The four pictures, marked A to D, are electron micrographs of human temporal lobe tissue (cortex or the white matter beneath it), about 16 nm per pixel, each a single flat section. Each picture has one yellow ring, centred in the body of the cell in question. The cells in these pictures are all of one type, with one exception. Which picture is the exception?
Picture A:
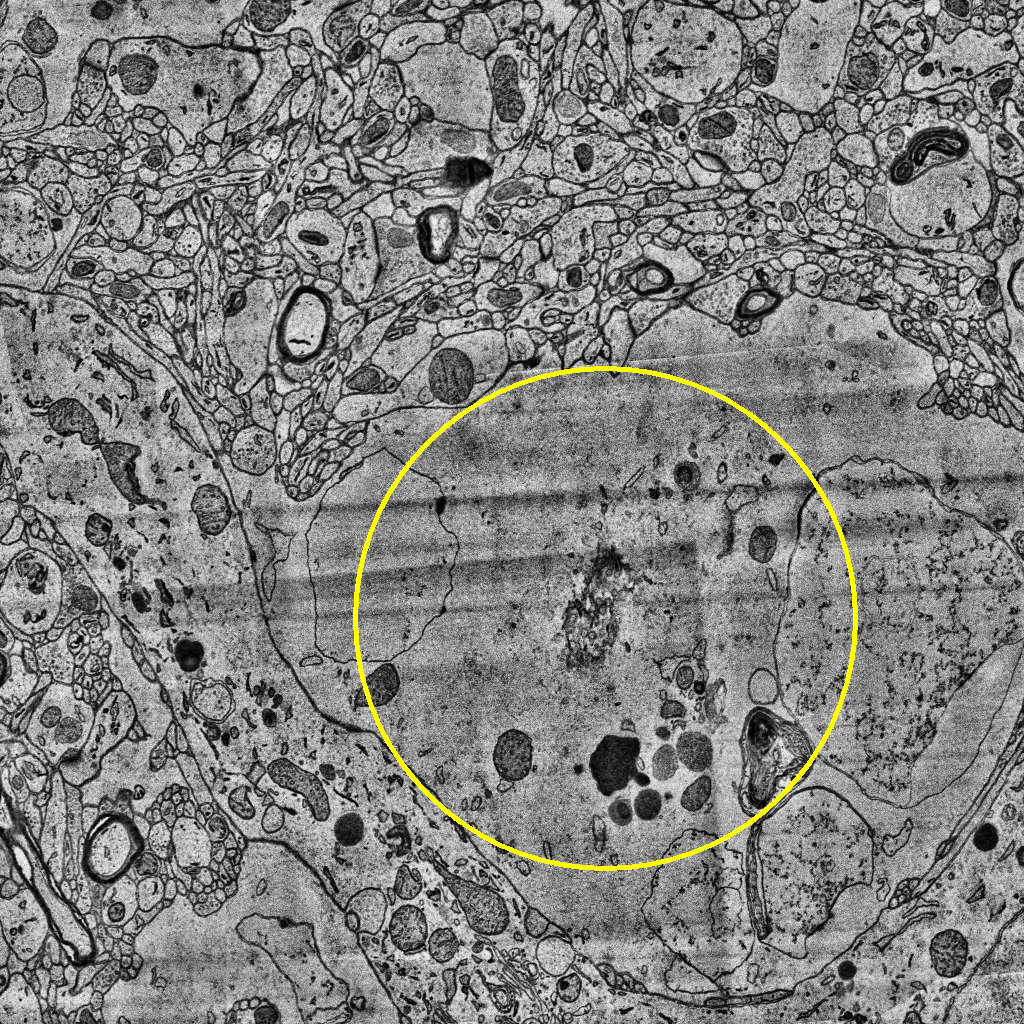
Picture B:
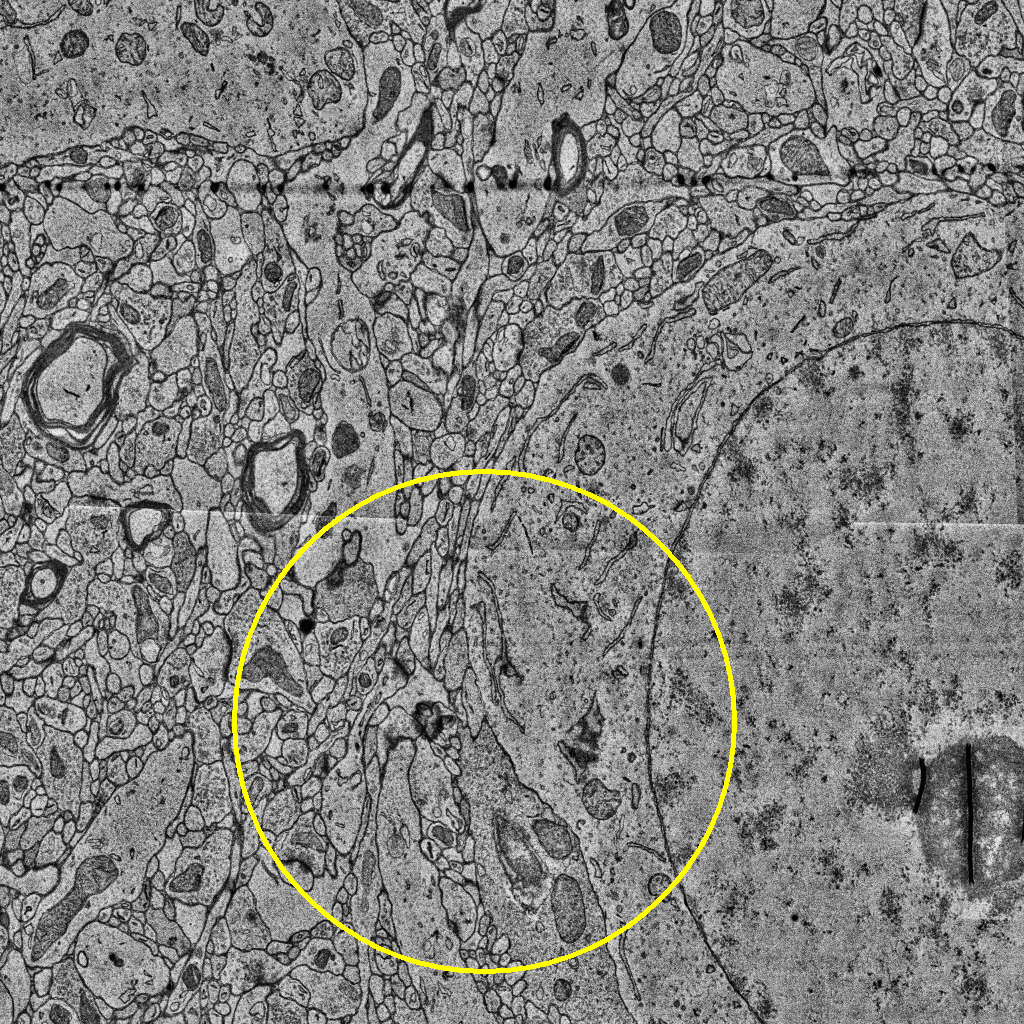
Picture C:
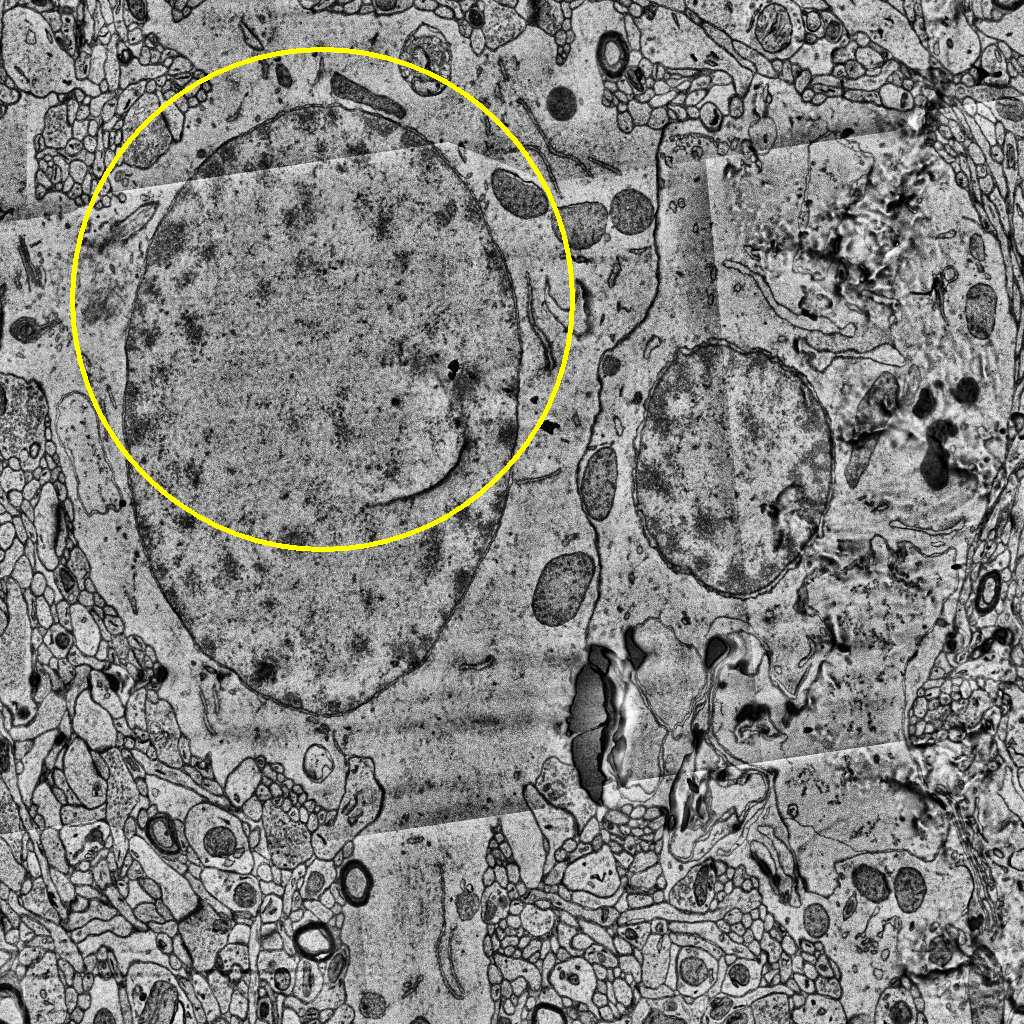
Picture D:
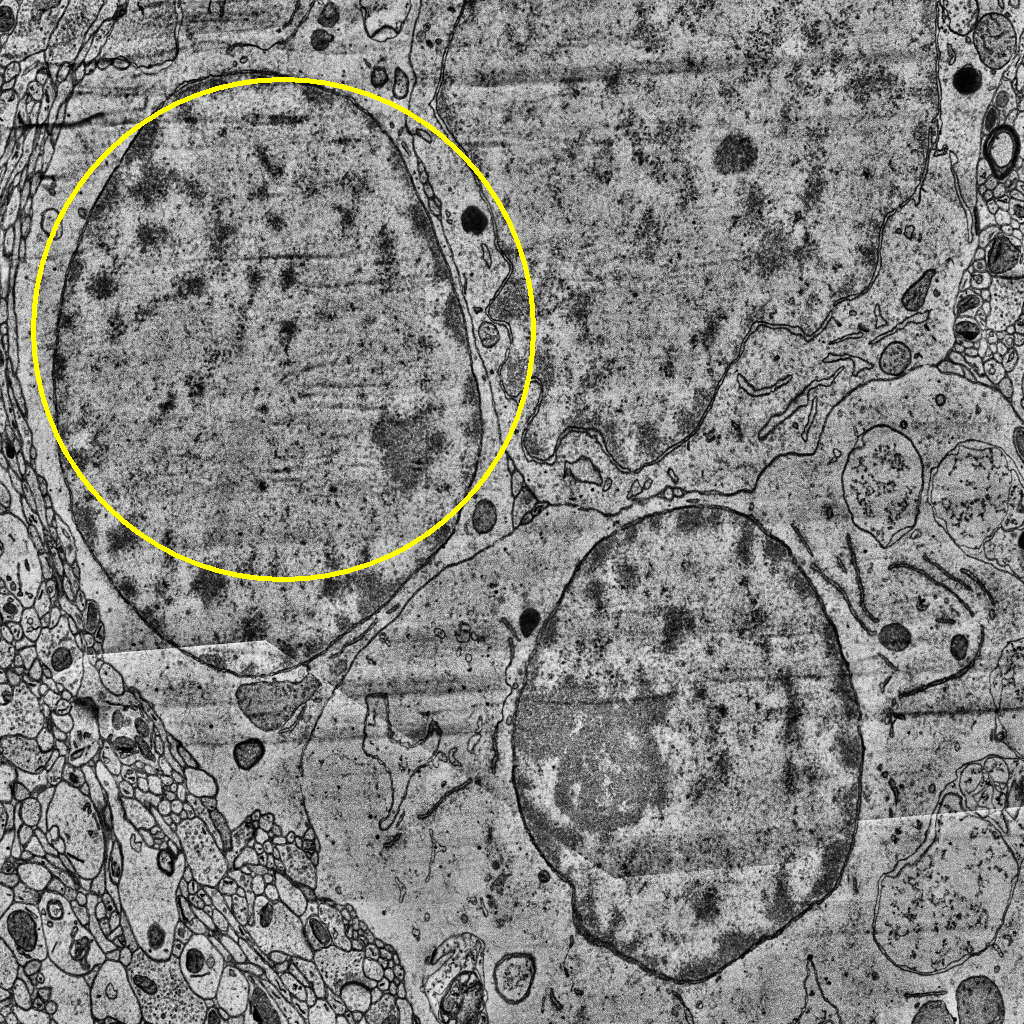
Unlike the rest, which show astrocytes, picture B shows an oligodendrocyte.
